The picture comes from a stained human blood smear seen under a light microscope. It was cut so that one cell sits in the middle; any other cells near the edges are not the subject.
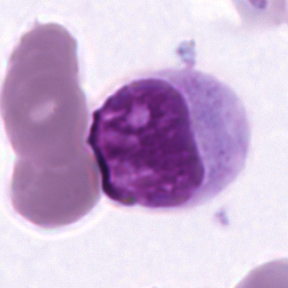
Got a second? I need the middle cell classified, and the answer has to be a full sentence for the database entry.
The centrally placed cell is classified as a plasma cell.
